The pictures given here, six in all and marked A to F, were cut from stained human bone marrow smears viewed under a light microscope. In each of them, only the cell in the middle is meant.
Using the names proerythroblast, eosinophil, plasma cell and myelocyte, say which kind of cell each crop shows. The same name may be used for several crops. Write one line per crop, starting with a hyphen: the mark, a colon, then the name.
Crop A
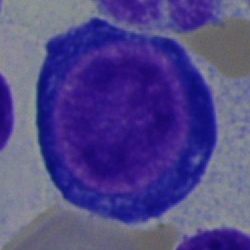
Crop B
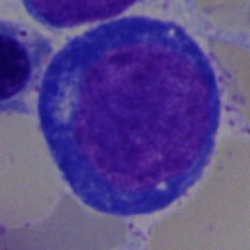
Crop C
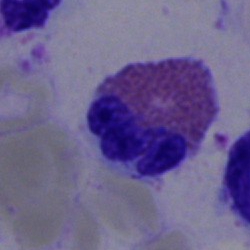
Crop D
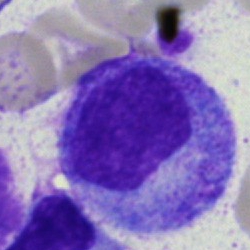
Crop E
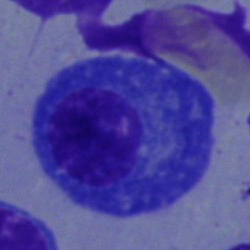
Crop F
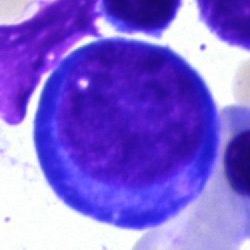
- A: proerythroblast
- B: proerythroblast
- C: eosinophil
- D: myelocyte
- E: plasma cell
- F: proerythroblast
